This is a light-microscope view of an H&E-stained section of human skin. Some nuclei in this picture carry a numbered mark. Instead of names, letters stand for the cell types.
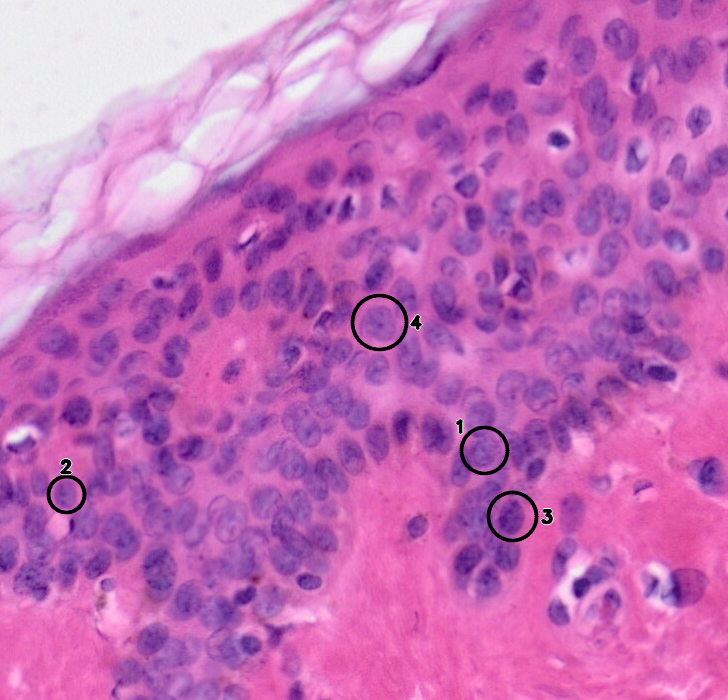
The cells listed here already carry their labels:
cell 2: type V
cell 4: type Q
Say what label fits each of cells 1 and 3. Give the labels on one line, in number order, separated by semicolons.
type V; type V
